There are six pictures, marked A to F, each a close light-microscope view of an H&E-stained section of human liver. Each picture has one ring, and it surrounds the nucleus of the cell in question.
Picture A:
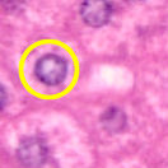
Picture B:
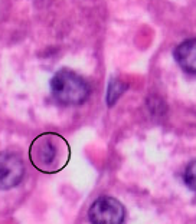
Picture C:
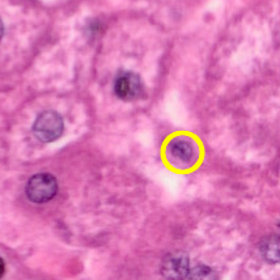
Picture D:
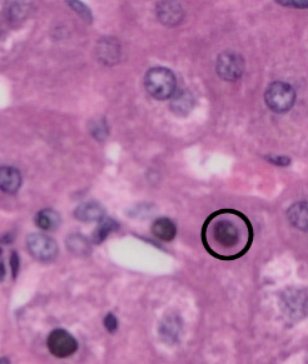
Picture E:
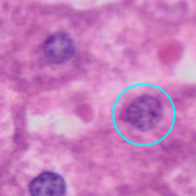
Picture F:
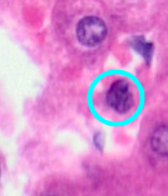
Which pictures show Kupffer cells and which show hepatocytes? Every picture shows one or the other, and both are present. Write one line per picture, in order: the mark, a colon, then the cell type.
A: hepatocyte
B: Kupffer cell
C: Kupffer cell
D: hepatocyte
E: hepatocyte
F: Kupffer cell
